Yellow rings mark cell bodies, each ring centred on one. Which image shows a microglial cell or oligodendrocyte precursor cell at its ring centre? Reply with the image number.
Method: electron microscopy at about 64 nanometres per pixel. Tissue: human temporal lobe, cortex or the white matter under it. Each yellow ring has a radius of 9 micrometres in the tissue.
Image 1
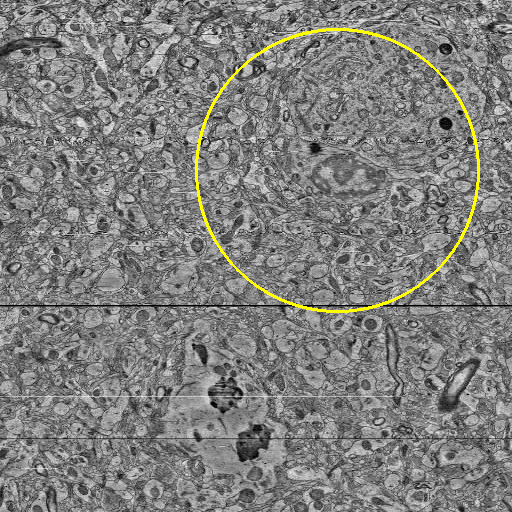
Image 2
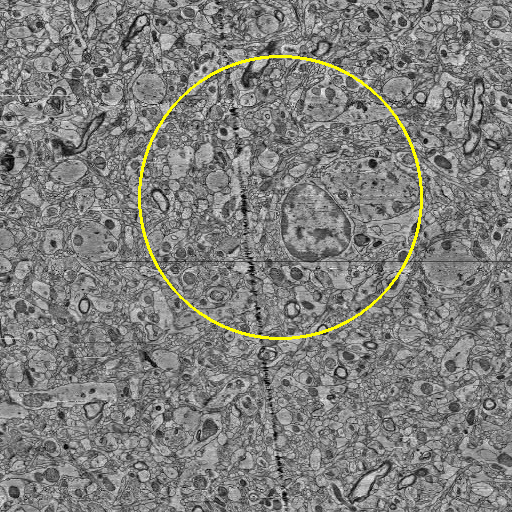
2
